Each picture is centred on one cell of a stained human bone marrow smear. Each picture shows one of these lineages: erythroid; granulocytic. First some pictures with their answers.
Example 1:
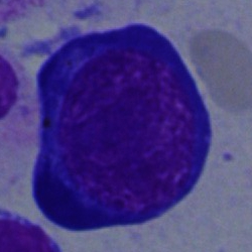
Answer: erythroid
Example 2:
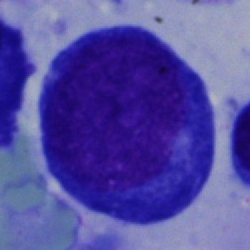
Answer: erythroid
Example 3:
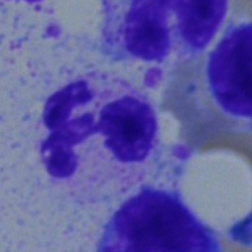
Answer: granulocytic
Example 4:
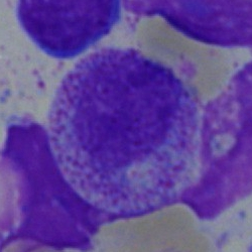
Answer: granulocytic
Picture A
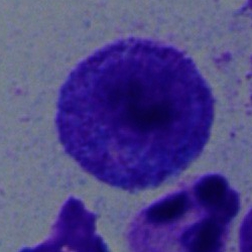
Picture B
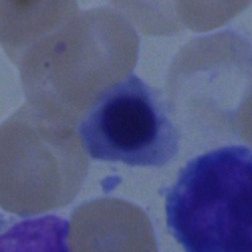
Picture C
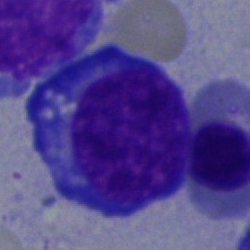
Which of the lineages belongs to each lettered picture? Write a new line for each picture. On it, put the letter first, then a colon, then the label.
A: granulocytic
B: erythroid
C: erythroid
